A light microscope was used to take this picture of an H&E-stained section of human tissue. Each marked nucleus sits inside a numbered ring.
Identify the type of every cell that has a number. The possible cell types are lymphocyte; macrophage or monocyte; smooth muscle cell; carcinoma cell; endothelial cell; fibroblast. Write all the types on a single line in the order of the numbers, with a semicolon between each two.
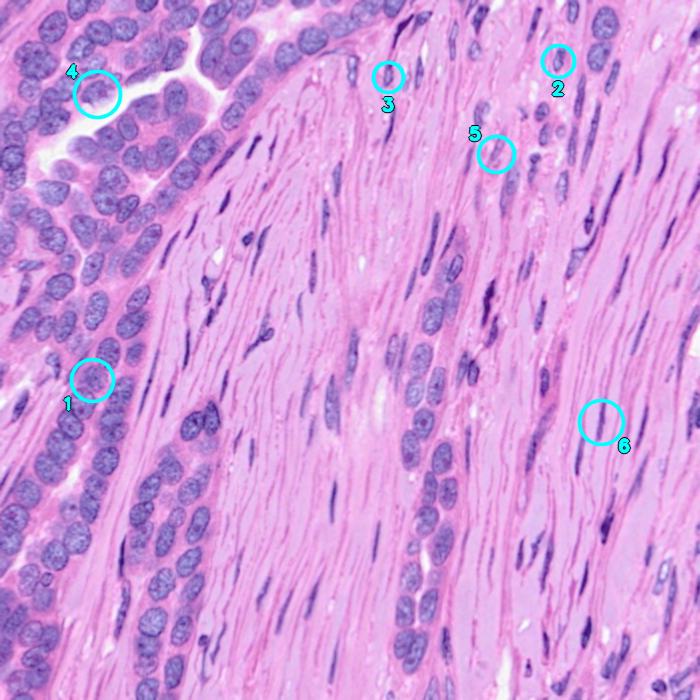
carcinoma cell; fibroblast; fibroblast; carcinoma cell; fibroblast; fibroblast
